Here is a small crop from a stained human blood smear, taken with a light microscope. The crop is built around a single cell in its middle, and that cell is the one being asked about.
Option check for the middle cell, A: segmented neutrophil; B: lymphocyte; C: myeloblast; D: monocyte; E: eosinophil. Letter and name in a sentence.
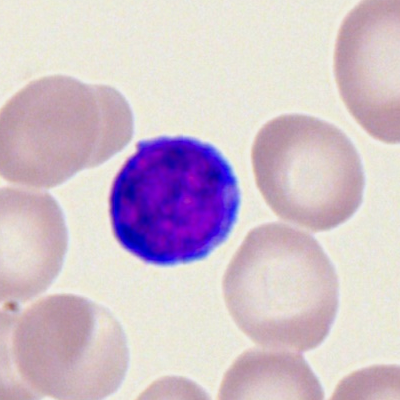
Option B holds up: the cell in the middle is a lymphocyte.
